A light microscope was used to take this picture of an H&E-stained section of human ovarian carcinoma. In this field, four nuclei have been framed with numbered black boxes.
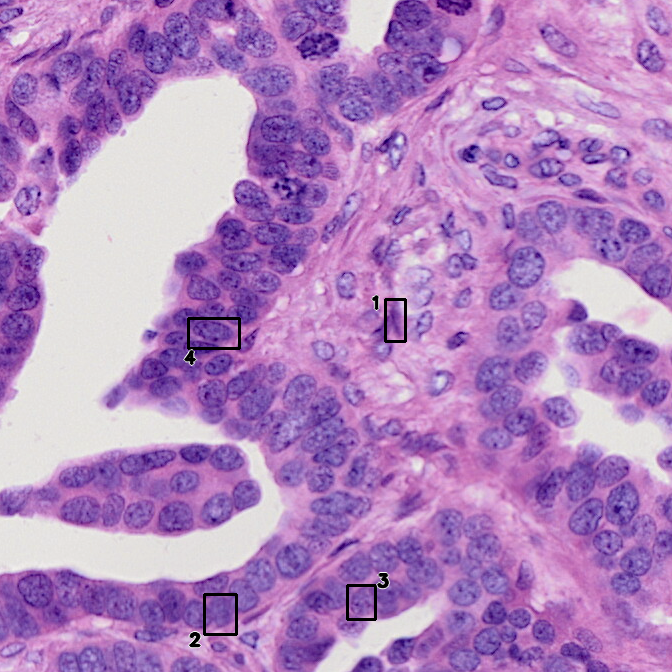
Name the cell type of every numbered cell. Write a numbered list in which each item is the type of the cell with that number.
1. fibroblast
2. carcinoma cell
3. carcinoma cell
4. carcinoma cell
